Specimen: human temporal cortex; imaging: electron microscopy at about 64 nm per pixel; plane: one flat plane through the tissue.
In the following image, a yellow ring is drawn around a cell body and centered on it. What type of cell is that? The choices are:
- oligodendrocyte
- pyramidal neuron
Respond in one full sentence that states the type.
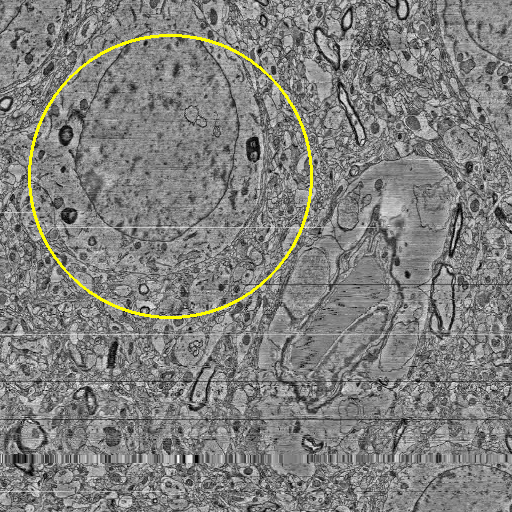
The cell at the center of the yellow ring in the image is a pyramidal neuron.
